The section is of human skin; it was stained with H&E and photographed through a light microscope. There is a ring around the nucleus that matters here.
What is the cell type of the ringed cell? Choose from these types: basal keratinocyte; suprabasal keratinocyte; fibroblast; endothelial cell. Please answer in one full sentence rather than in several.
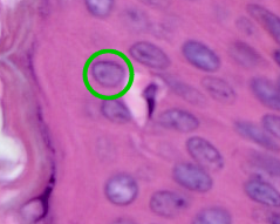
As far as its identity is concerned, the ringed cell is a suprabasal keratinocyte.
